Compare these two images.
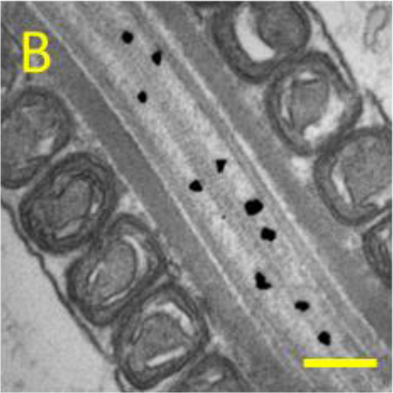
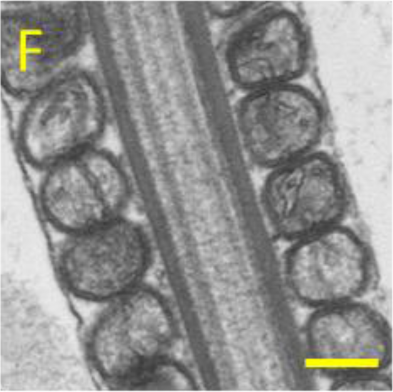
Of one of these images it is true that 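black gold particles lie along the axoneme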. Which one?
The first image.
